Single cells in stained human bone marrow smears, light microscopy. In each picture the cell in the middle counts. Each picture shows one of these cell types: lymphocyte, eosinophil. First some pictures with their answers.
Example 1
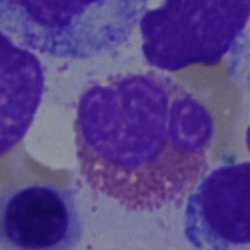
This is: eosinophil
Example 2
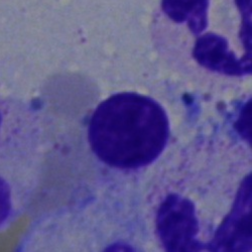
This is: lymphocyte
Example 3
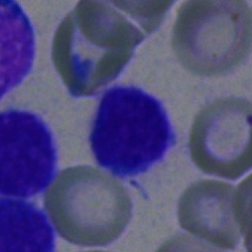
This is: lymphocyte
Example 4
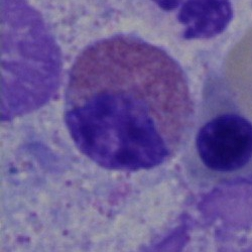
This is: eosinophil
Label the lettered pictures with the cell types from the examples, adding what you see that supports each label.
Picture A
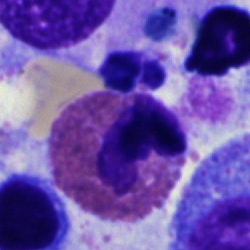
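eosinophil. Evidence: The cytoplasm is abundant and pinkish-lilac.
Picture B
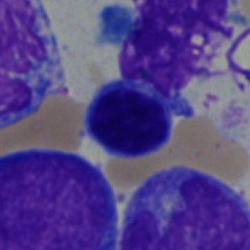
lymphocyte. Evidence: Cytoplasm is scant, at most a very thin rim around the nucleus.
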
